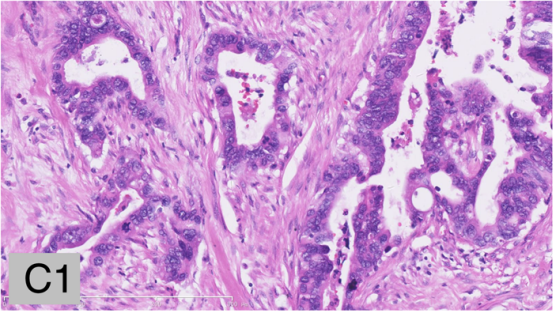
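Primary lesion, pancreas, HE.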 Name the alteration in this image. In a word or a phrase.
Intensive desmoplastic stromal reaction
